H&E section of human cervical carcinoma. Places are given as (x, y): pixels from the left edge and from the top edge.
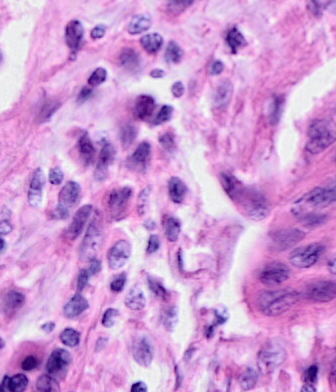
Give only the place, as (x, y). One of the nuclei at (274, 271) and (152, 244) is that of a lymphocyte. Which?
(152, 244)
